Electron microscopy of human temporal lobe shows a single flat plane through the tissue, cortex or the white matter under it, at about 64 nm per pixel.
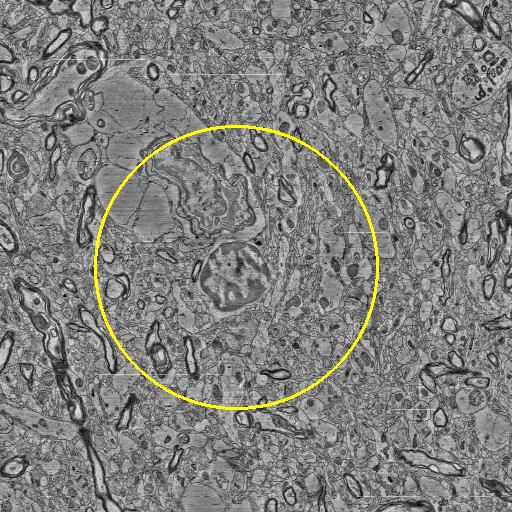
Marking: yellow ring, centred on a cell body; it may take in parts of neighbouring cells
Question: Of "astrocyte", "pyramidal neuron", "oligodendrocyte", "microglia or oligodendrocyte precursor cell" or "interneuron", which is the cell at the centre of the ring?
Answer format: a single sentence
The ring surrounds the body of a microglial cell or oligodendrocyte precursor cell.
